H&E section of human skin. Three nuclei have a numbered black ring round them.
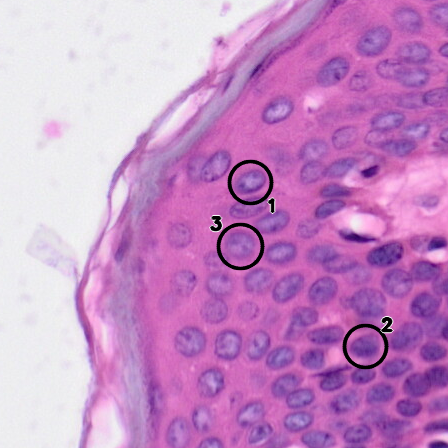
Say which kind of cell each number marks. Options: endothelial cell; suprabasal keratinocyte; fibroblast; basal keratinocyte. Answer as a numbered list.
1. suprabasal keratinocyte
2. basal keratinocyte
3. suprabasal keratinocyte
